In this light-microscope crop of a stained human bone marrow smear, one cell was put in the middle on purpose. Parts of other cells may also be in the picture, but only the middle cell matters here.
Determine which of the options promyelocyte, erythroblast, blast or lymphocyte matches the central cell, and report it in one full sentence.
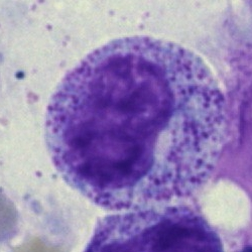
As for the central cell, it is a promyelocyte.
